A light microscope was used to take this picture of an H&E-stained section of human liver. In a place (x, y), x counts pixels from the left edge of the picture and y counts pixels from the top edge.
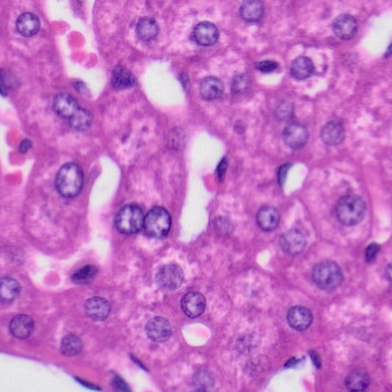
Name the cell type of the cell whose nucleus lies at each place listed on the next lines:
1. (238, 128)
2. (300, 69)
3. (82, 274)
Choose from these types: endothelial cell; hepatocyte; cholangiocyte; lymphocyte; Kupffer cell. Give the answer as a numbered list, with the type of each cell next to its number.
1. hepatocyte
2. hepatocyte
3. Kupffer cell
